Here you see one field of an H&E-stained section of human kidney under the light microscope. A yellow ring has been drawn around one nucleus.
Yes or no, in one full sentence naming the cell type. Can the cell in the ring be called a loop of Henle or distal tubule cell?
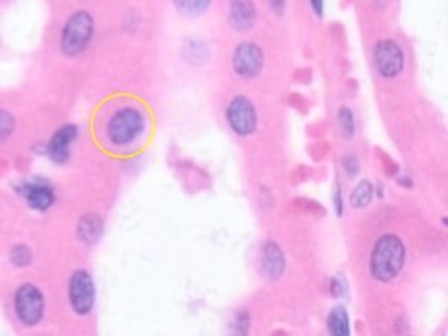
Yes, that is right: the cell in the ring is a loop of Henle or distal tubule cell.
